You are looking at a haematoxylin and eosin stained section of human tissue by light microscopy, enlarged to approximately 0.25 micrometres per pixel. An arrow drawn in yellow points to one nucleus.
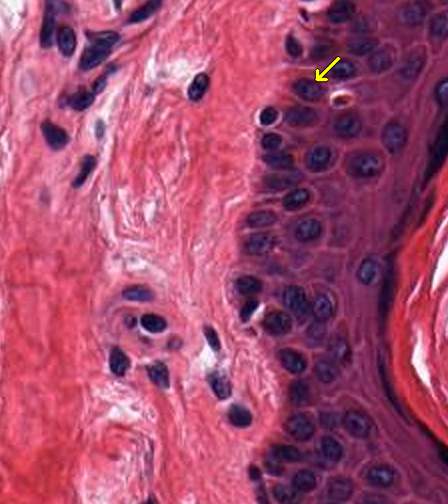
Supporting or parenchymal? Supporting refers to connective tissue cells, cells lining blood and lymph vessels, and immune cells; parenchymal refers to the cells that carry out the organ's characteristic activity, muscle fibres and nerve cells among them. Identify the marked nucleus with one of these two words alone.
parenchymal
